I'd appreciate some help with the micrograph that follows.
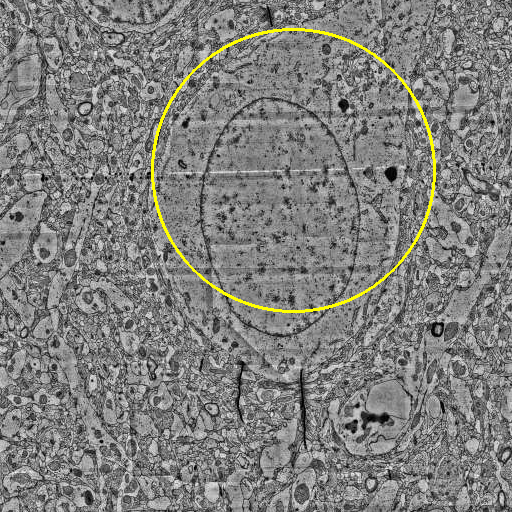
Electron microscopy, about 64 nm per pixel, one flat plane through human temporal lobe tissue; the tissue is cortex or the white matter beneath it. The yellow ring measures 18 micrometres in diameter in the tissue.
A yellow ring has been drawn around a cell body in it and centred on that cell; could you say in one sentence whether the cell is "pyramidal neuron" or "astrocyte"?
It is a pyramidal neuron at the centre of the ring.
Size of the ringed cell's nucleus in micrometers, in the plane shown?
The nucleus of the ringed cell is approximately 15 by 10 micrometres in this plane.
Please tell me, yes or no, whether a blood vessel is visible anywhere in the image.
No, no vessel shows anywhere in the image.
